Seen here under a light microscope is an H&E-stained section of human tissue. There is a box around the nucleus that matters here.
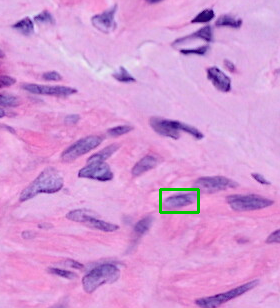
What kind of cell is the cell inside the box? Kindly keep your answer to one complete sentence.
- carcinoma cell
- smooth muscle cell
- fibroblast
Recorded by type, the cell inside the box is a smooth muscle cell.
